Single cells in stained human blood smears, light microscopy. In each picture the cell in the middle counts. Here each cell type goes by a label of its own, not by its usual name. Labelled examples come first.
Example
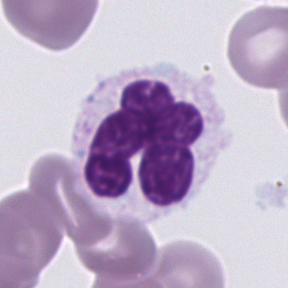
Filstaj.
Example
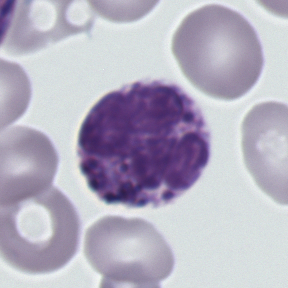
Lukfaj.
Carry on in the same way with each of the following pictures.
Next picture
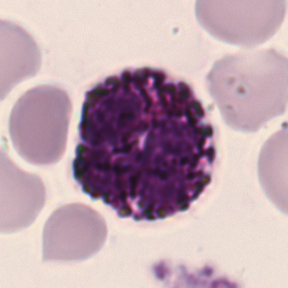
Lukfaj.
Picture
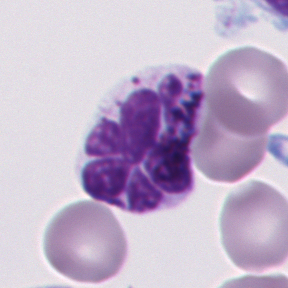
Lukfaj.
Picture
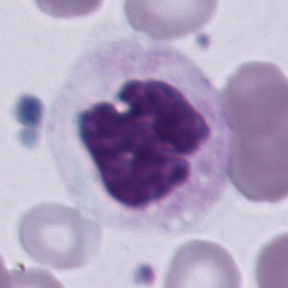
Filstaj.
